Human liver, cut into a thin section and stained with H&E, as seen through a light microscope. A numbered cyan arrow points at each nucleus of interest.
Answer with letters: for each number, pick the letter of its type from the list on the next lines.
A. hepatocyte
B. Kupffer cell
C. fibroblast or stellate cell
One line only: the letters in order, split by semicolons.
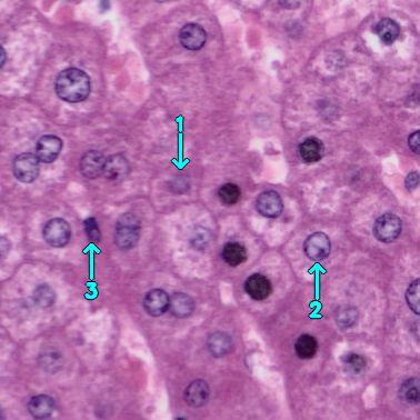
A; A; C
